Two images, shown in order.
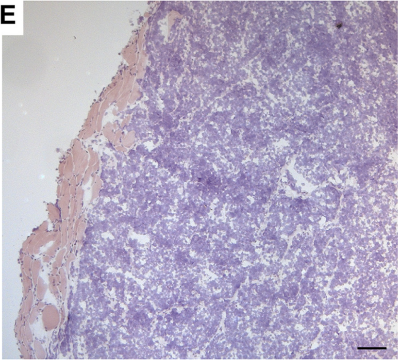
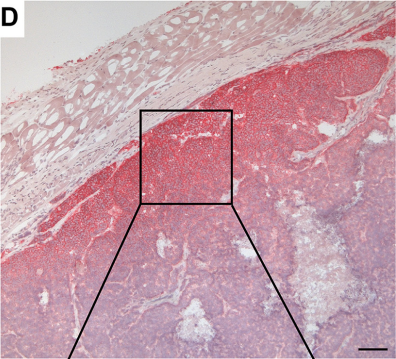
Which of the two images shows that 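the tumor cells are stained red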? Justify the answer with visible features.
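First image: the solid cell mass is blue only, with no red stain. Second image: a large part of the solid cell mass is stained red. The answer: the second image.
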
